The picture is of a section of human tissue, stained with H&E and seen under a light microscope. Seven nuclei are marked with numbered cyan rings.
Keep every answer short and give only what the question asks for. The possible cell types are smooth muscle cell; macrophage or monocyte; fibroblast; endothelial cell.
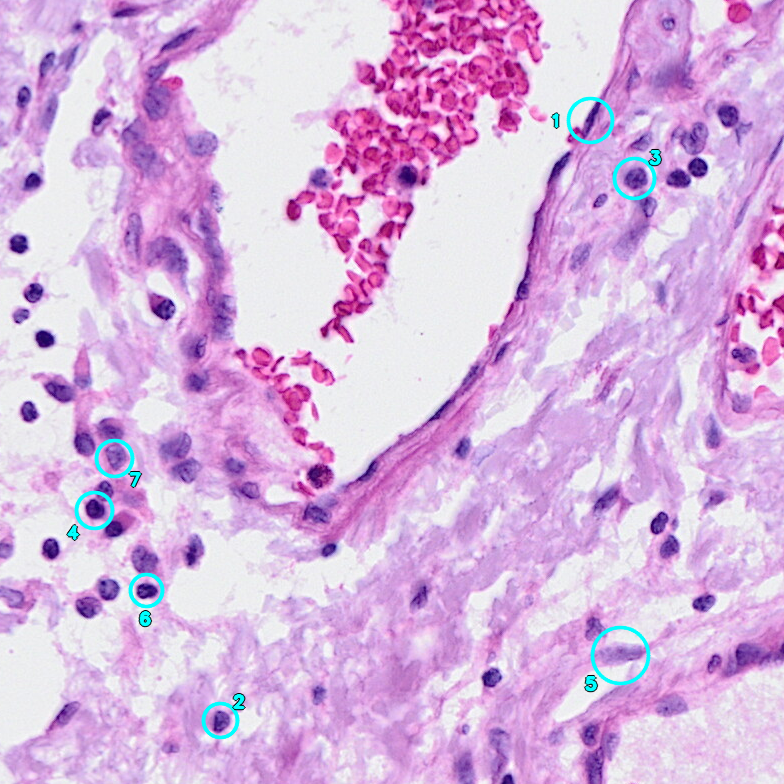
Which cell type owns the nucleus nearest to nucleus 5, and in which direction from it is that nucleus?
a macrophage or monocyte; above and to the left of nucleus 5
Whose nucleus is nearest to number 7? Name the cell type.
macrophage or monocyte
